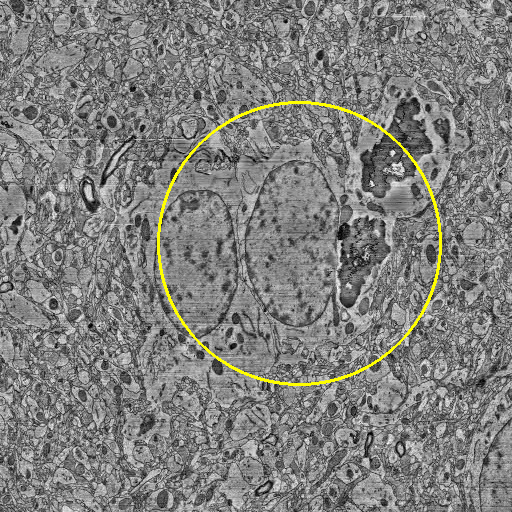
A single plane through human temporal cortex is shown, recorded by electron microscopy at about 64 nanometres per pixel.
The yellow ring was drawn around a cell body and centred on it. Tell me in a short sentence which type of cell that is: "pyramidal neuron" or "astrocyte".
The cell at the ring's centre is an astrocyte.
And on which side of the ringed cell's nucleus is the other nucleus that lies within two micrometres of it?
That other nucleus is to the left of it.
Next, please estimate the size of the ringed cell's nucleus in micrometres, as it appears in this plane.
About 11 by 6 micrometres in this plane.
